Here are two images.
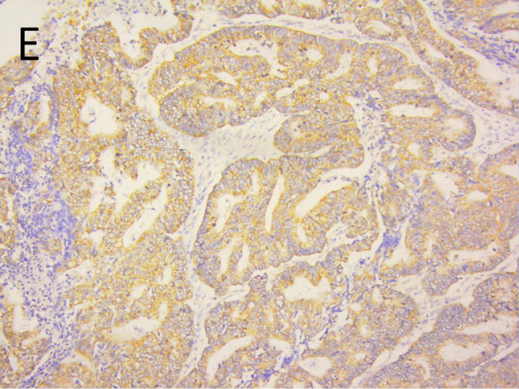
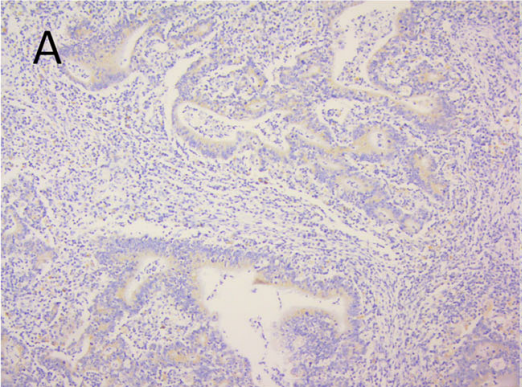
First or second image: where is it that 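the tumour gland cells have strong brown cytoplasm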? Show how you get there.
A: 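The first image. First image: the crowded tumour glands are densely brown throughout their cytoplasm. Second image: the tumour glands are mostly blue-purple with at most a faint tan tinge.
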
